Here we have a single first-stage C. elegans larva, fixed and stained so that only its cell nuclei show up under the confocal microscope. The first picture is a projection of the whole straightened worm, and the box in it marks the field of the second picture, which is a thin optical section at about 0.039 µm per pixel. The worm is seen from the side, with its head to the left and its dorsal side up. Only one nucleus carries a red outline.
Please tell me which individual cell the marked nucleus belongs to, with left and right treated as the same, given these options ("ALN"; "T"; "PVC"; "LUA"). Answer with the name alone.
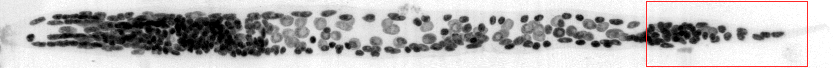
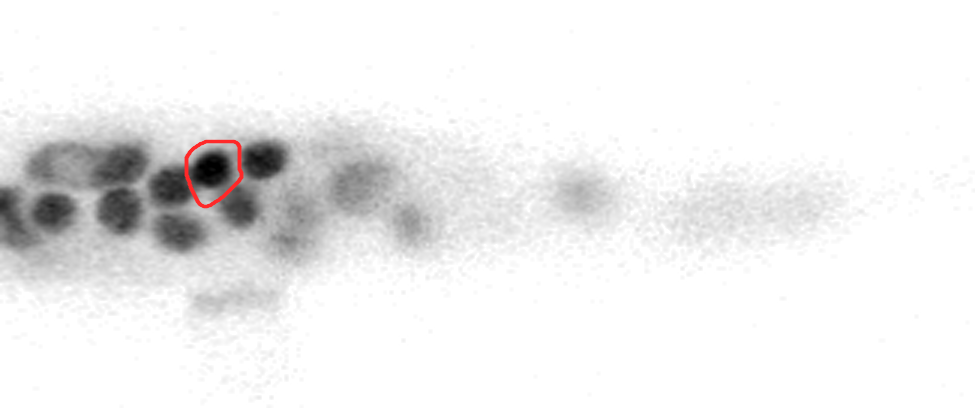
LUA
